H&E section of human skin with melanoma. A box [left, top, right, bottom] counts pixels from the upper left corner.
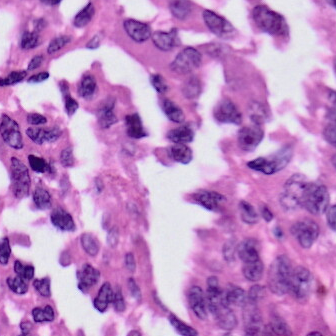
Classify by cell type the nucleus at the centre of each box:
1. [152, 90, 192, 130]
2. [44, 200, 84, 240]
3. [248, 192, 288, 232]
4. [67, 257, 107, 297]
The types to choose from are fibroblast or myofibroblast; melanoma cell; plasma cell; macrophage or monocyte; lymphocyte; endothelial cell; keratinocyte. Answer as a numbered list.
1. melanoma cell
2. melanoma cell
3. macrophage or monocyte
4. melanoma cell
